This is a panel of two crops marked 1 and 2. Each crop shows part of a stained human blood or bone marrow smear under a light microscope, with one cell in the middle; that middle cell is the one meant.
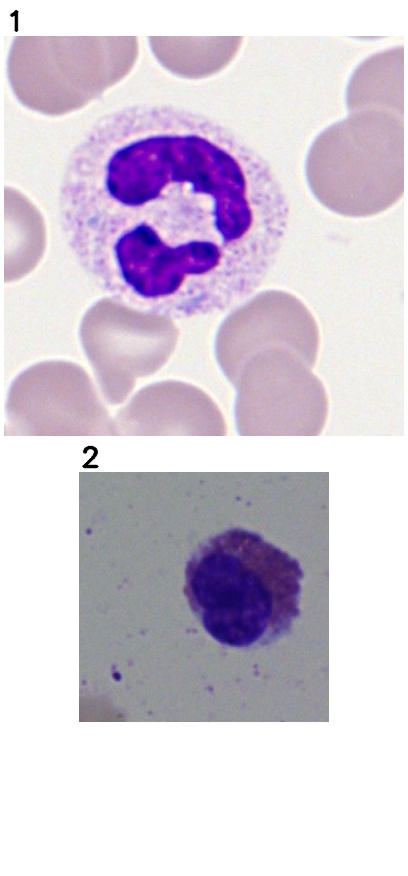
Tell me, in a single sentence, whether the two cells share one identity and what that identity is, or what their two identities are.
No, an eosinophil is the cell of crop 2, while a segmented neutrophil is the cell of crop 1.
